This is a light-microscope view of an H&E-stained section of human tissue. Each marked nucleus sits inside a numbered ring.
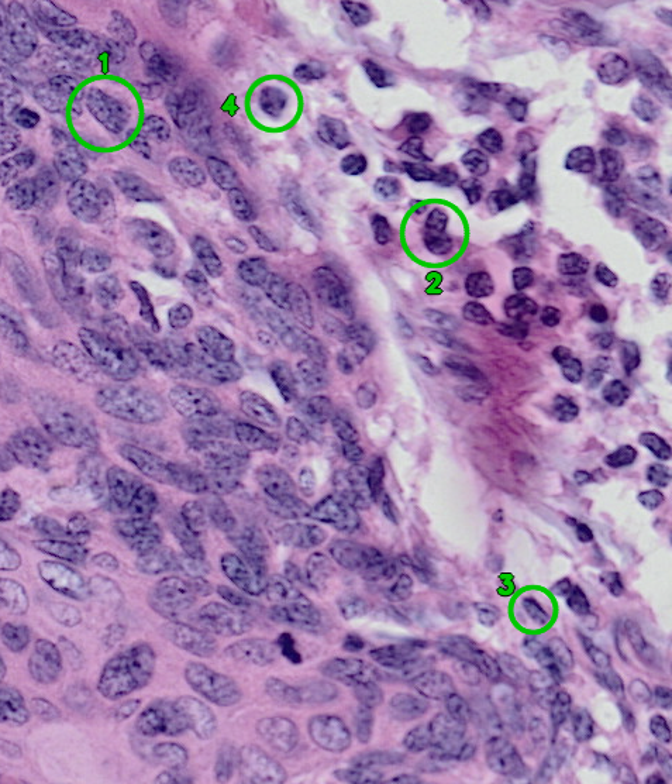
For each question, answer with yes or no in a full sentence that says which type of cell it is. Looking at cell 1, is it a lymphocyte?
No, the cell with number 1 is not a lymphocyte but a squamous carcinoma cell.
